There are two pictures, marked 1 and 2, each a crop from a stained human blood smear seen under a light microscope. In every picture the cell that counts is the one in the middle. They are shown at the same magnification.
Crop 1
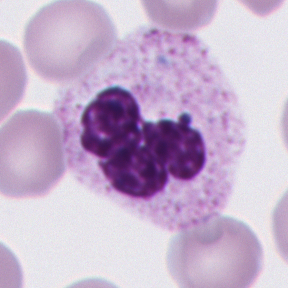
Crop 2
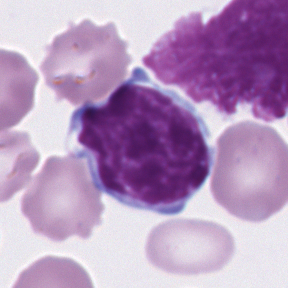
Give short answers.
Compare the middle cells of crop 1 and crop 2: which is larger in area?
1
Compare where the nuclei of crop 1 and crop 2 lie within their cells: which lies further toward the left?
1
